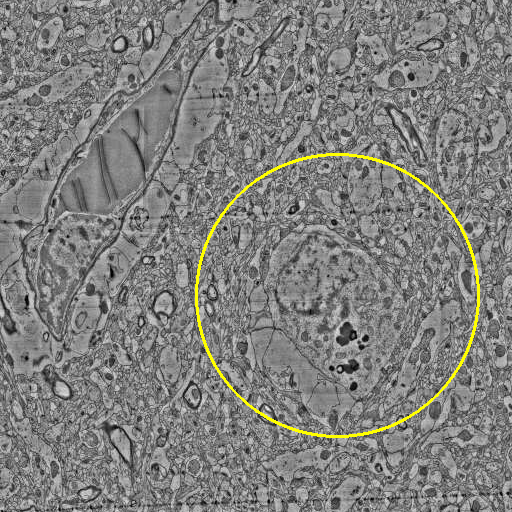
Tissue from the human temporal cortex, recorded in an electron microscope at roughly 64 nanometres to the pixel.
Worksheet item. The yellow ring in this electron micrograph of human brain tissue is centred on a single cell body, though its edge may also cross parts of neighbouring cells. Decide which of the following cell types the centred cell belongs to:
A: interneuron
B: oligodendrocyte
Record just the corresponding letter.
A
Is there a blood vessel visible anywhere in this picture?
Yes, there is a blood vessel.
